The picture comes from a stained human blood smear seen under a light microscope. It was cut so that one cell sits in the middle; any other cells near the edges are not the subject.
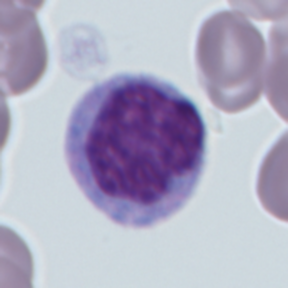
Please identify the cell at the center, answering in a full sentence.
In the central position of this crop, the cell is a monocyte.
